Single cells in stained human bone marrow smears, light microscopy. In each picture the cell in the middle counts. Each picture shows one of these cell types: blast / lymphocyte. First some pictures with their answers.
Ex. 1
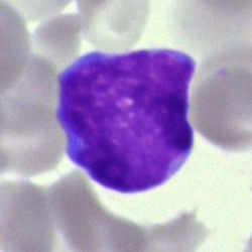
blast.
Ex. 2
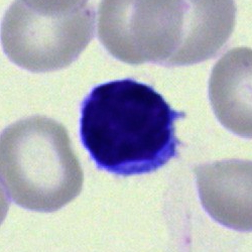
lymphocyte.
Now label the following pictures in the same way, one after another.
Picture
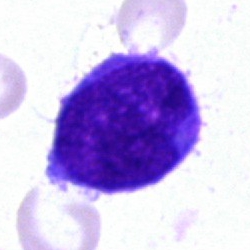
blast.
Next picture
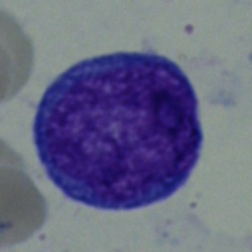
blast.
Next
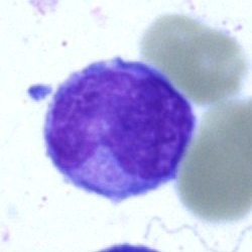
blast.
